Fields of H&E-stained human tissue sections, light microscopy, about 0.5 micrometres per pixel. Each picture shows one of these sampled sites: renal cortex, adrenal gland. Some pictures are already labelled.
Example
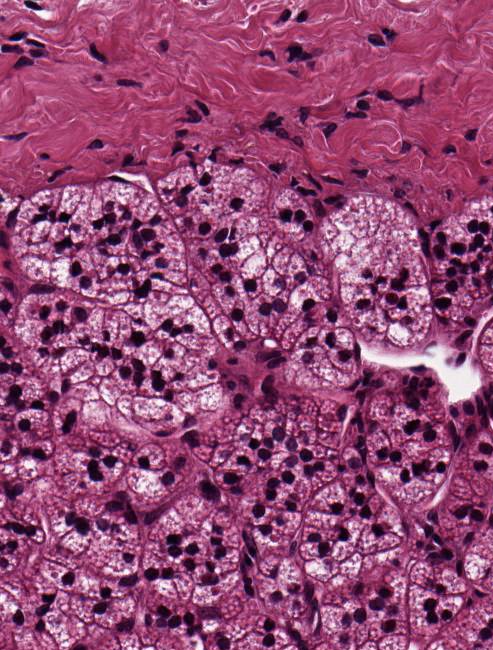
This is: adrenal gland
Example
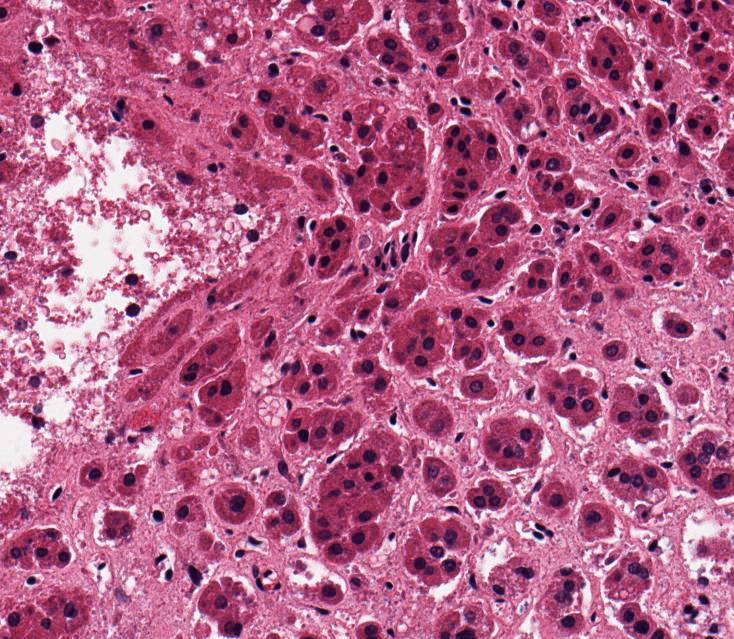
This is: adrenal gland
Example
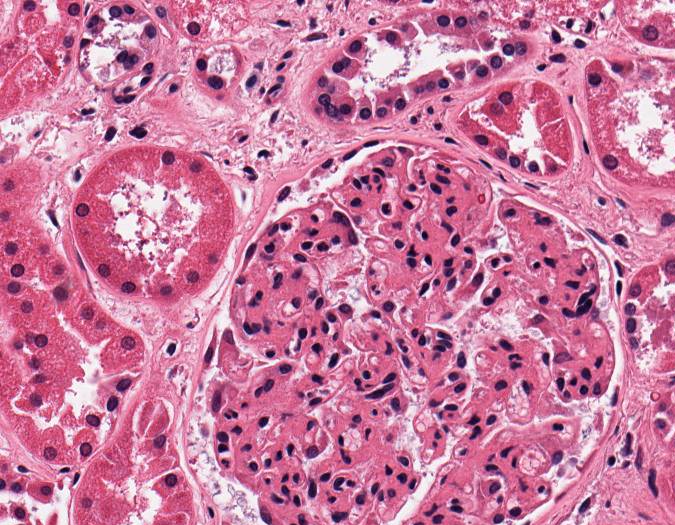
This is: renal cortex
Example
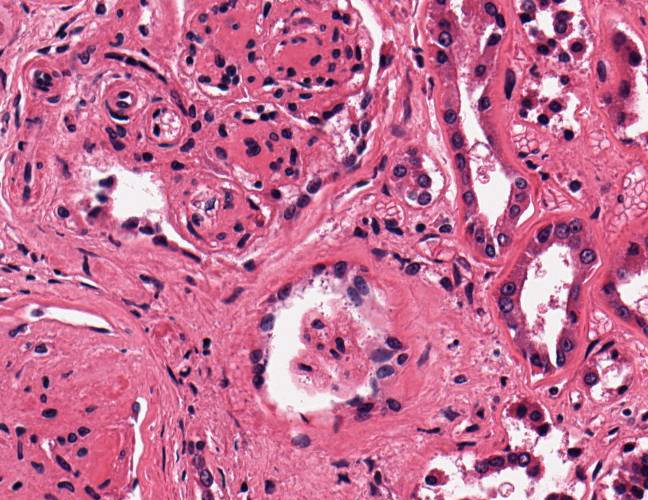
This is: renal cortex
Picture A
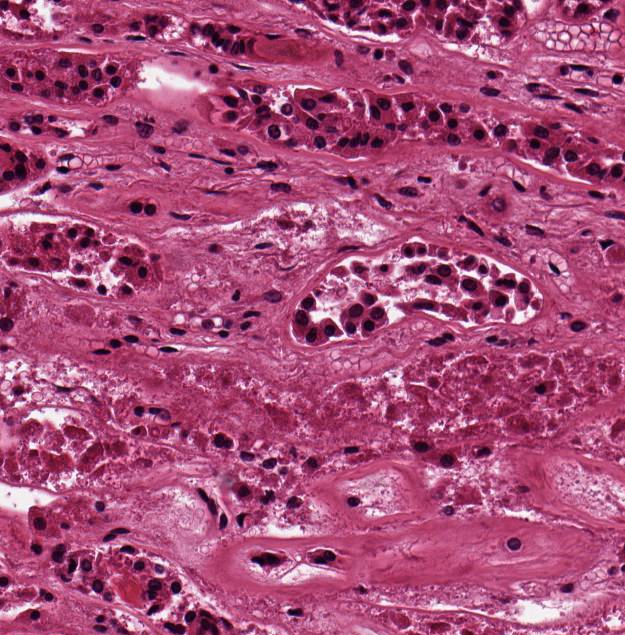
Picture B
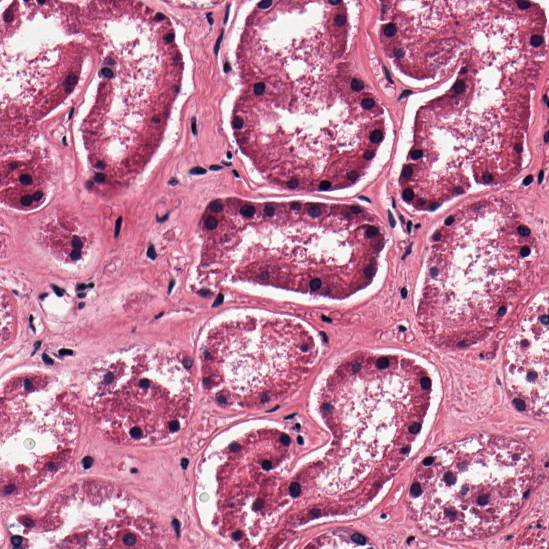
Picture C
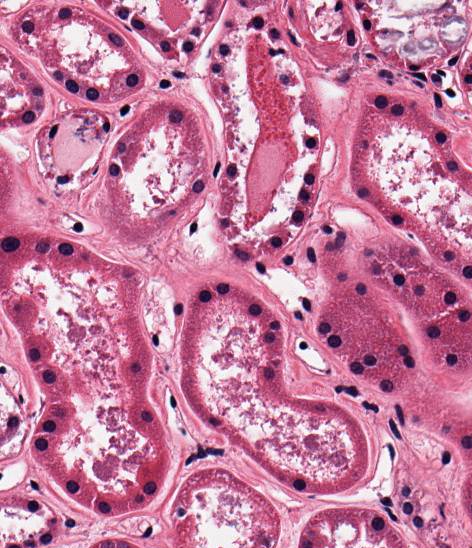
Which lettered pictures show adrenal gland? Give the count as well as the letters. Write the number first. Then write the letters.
0, none of them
